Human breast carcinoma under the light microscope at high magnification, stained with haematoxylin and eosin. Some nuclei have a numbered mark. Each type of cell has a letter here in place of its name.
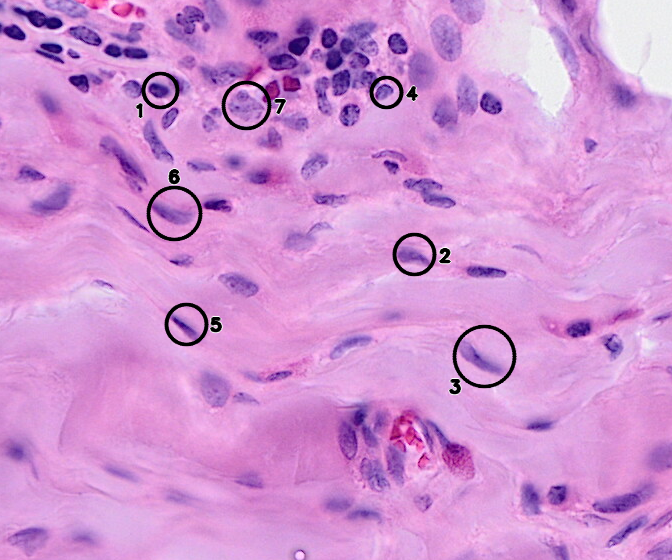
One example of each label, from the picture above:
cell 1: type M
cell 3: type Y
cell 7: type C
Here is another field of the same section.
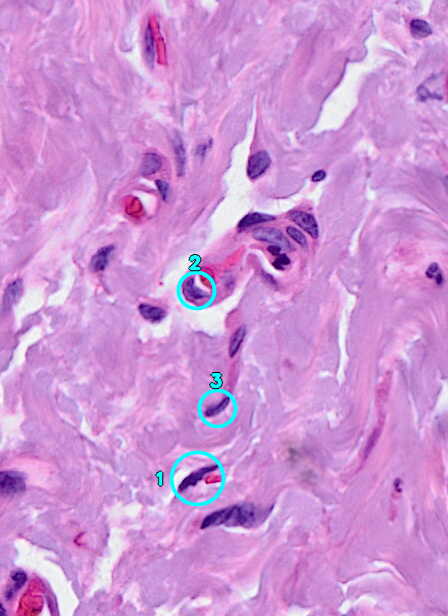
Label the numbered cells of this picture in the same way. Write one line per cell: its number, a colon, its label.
1: type Y
2: type C
3: type Y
